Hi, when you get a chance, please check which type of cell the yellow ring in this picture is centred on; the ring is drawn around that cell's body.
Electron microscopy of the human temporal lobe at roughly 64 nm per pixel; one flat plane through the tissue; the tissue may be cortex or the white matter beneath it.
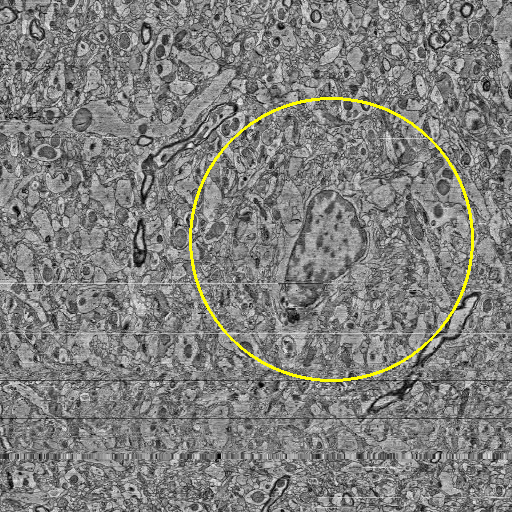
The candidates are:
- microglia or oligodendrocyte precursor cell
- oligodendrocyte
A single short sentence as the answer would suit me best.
The ring is drawn around the body of a microglial cell or oligodendrocyte precursor cell.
